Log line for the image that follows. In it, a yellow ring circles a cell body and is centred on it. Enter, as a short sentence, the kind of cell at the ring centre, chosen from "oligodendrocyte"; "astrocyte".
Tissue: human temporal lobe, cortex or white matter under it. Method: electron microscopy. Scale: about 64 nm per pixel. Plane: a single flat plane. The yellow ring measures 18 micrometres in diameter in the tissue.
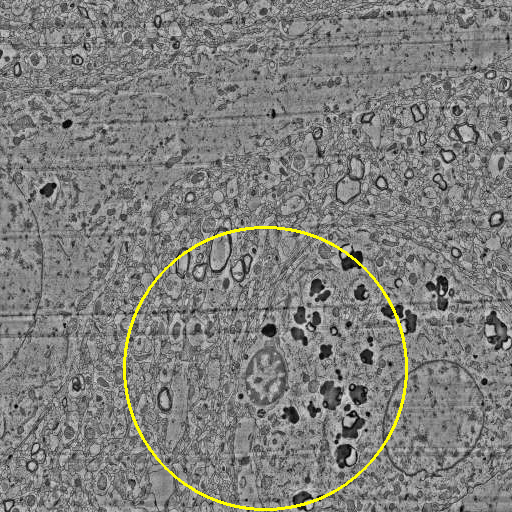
The ring centre is occupied by an oligodendrocyte.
